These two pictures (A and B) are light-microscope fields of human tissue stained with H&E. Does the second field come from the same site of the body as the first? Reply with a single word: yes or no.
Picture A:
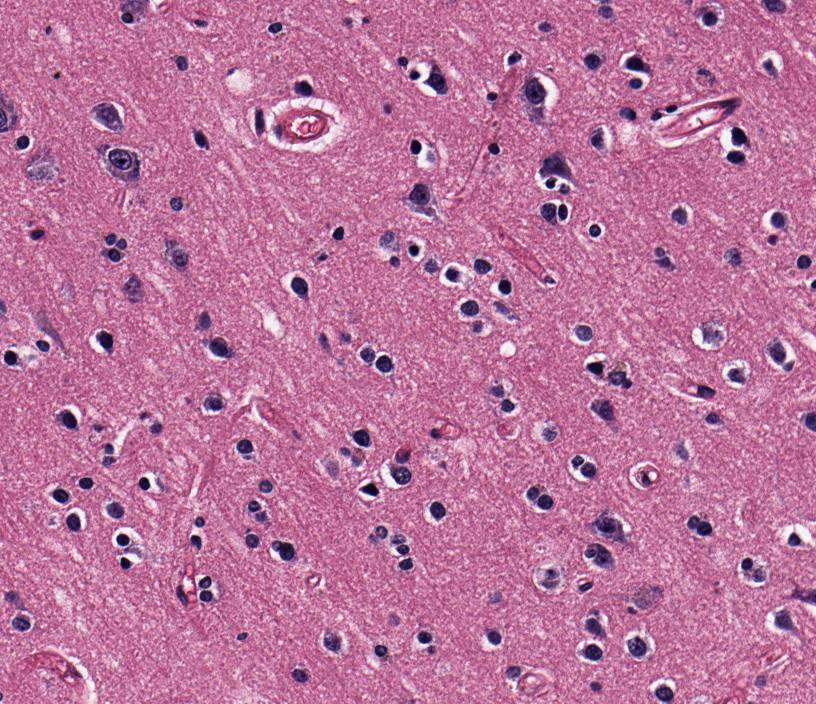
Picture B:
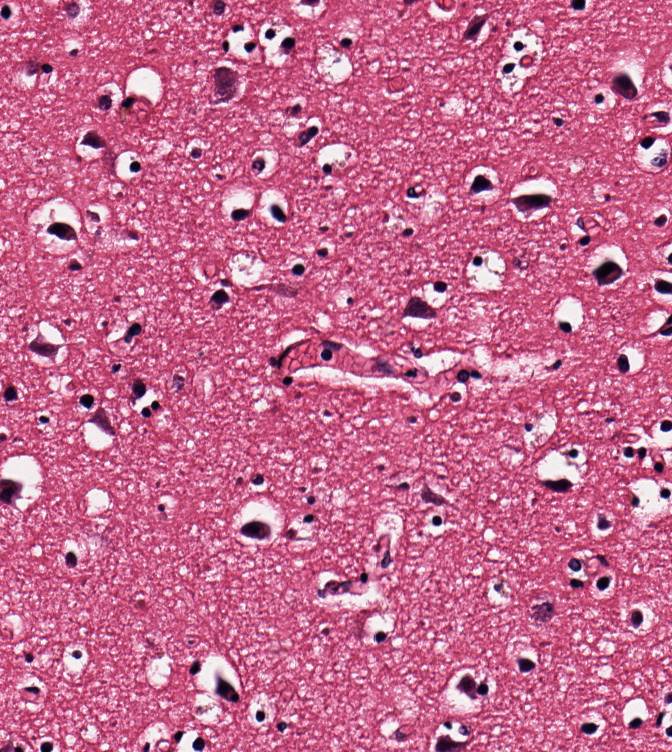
yes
